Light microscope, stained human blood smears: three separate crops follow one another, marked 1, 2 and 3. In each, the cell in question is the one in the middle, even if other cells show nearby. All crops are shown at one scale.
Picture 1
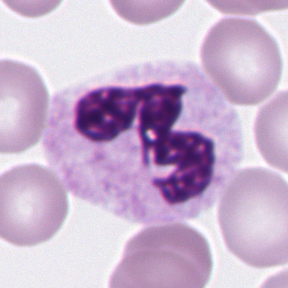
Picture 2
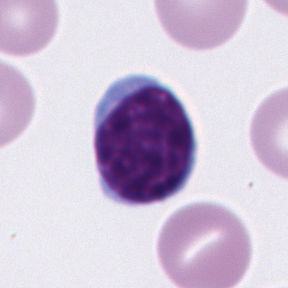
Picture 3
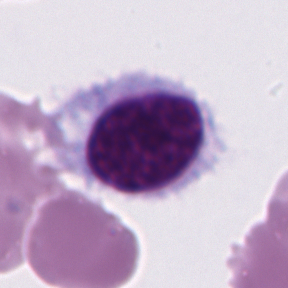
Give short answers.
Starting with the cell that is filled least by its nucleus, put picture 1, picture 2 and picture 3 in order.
1, 3, 2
